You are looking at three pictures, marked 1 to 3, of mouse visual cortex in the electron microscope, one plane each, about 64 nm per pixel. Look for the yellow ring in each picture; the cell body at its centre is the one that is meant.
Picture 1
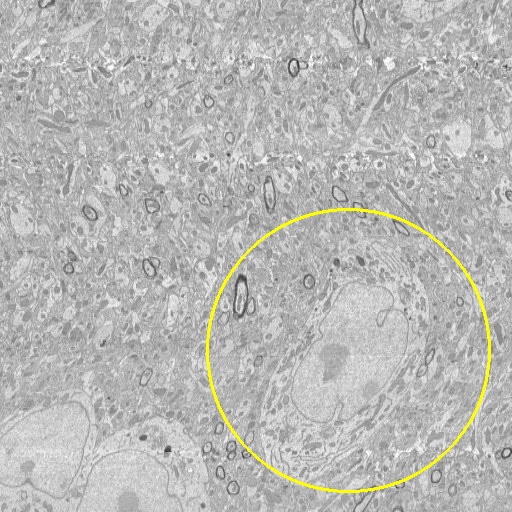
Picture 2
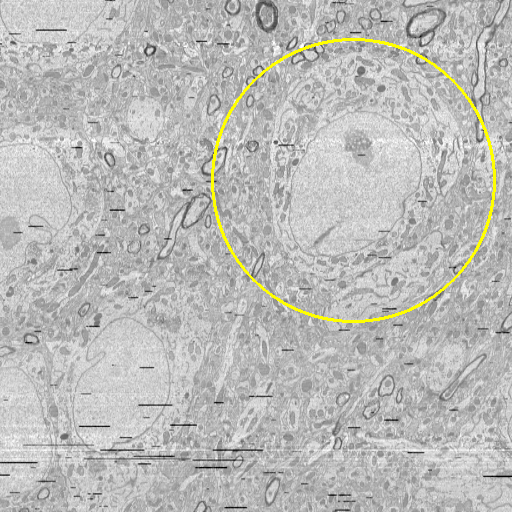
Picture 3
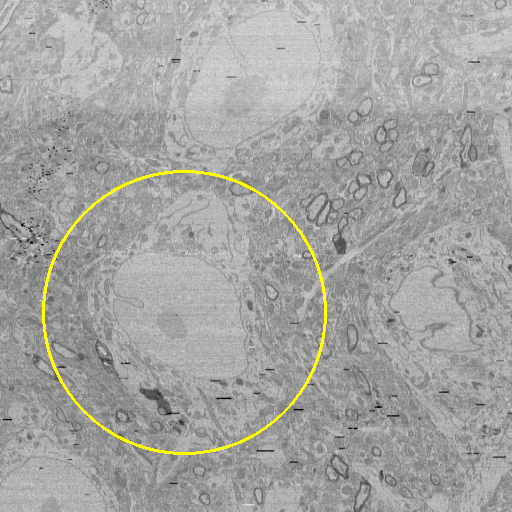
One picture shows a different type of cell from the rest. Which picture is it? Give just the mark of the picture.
3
